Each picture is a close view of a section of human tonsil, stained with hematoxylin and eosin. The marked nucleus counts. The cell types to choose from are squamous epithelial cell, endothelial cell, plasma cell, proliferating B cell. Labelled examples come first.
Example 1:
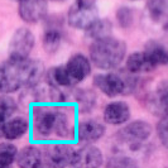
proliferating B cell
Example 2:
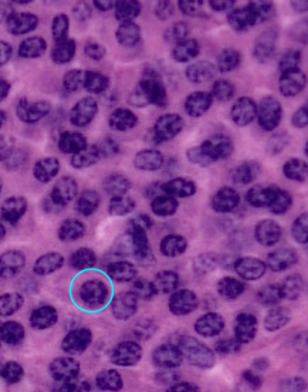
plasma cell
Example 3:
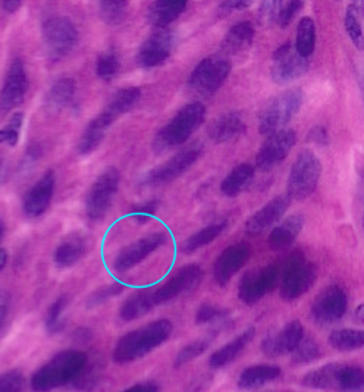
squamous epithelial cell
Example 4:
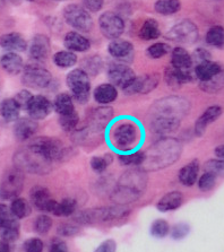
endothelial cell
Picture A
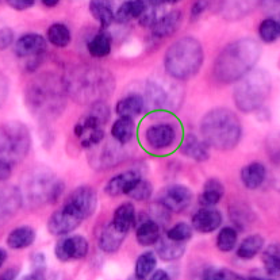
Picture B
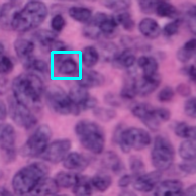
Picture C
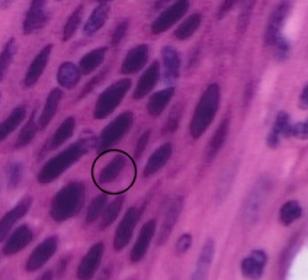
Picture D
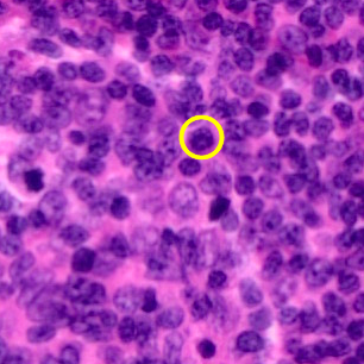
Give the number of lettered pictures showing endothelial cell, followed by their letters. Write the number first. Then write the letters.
Count: 1 (A)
